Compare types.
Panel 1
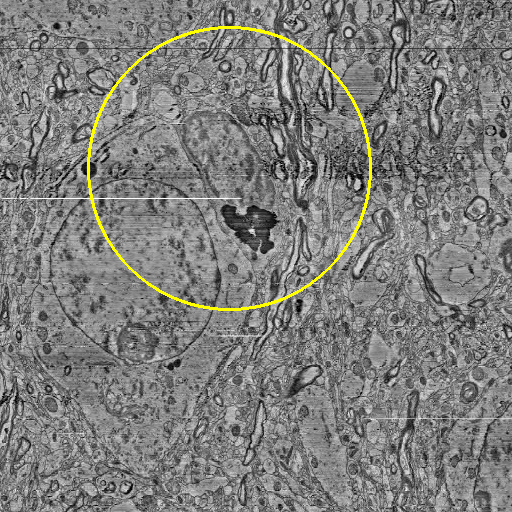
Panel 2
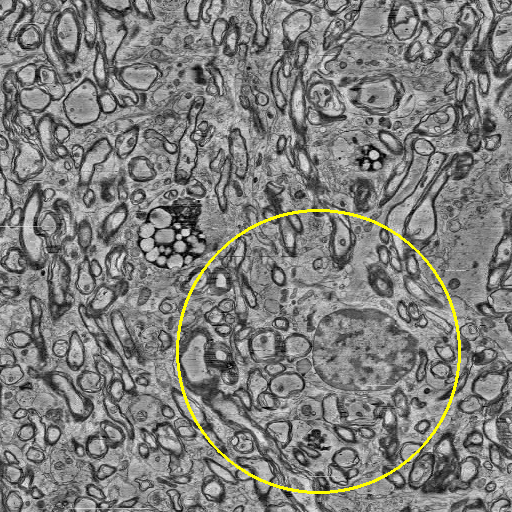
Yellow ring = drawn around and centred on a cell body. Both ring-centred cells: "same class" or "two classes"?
two classes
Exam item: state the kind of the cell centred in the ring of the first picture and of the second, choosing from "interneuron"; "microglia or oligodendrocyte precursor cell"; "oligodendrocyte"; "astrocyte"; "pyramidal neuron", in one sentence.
The first picture shows an oligodendrocyte at the ring centre and the second shows a microglial cell or oligodendrocyte precursor cell.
